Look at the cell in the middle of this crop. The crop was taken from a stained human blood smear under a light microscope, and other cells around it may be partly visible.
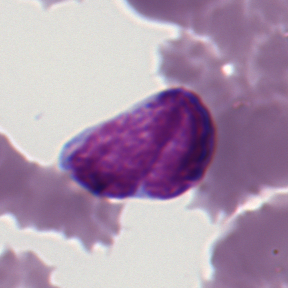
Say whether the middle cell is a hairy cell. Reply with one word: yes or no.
no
